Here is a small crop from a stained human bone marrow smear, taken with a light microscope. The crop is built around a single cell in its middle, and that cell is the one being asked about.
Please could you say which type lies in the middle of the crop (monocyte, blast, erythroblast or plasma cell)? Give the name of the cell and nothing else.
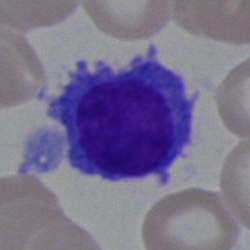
plasma cell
